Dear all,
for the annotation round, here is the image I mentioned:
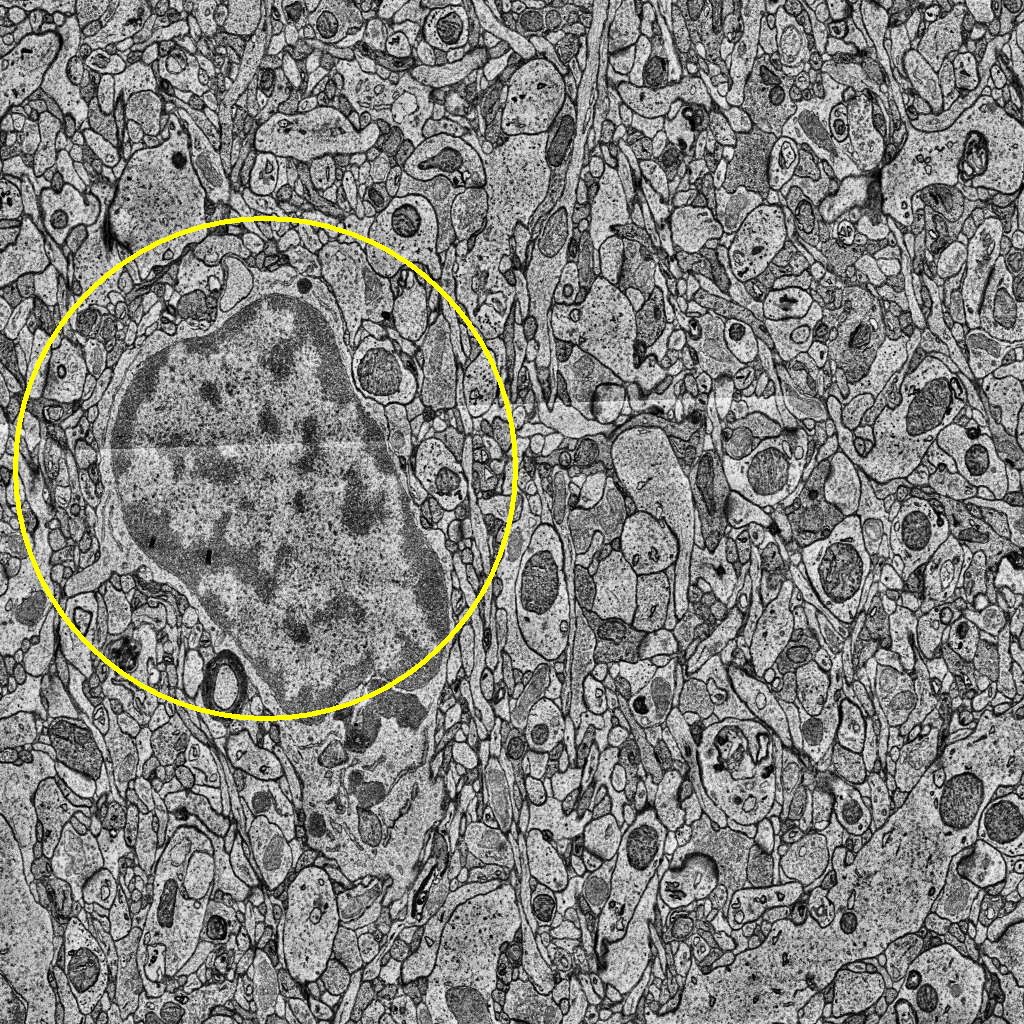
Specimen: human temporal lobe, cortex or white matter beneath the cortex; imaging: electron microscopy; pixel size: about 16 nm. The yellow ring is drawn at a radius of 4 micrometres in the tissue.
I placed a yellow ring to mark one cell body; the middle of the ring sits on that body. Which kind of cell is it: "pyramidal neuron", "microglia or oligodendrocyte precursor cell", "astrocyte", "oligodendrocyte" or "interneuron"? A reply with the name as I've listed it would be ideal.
microglia or oligodendrocyte precursor cell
